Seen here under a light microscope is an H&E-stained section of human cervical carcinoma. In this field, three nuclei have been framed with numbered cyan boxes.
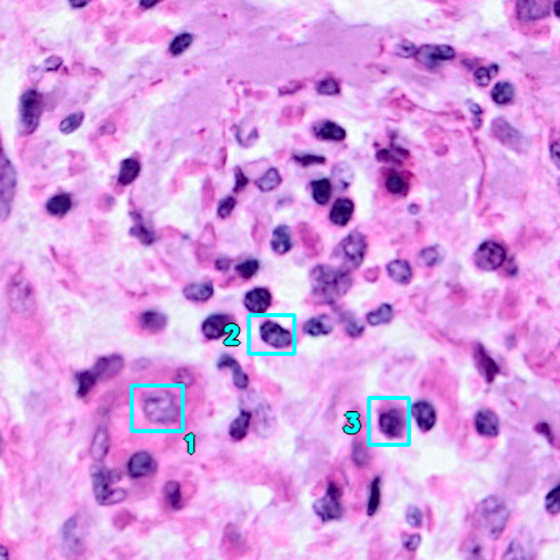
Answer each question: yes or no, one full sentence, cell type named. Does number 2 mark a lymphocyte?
Yes, the one with the number 2 is a lymphocyte.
